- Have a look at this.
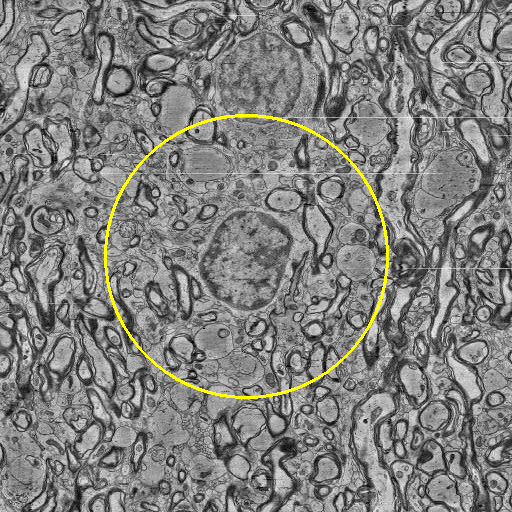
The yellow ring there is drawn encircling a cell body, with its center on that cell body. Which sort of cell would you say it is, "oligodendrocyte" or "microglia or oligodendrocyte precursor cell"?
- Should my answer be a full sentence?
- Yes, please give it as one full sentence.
For this picture, a microglial cell or oligodendrocyte precursor cell is the cell where the yellow ring has its center.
